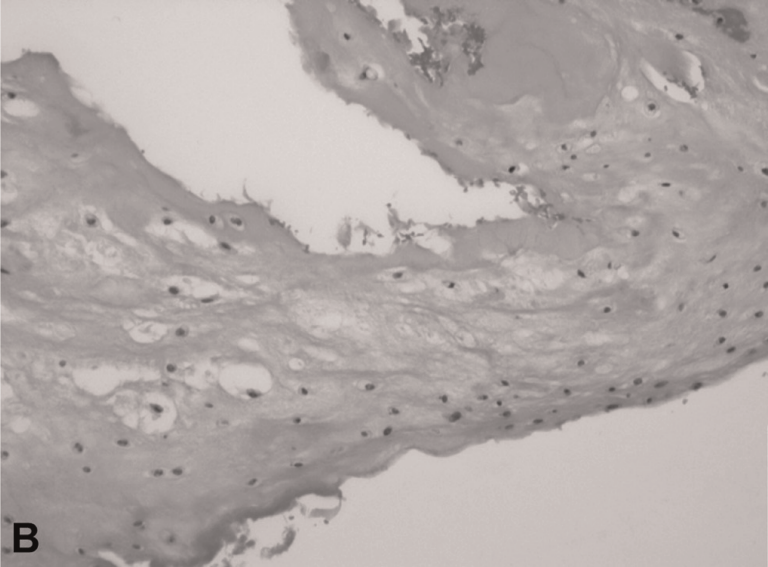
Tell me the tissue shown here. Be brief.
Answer: fibrocartilaginous tissue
